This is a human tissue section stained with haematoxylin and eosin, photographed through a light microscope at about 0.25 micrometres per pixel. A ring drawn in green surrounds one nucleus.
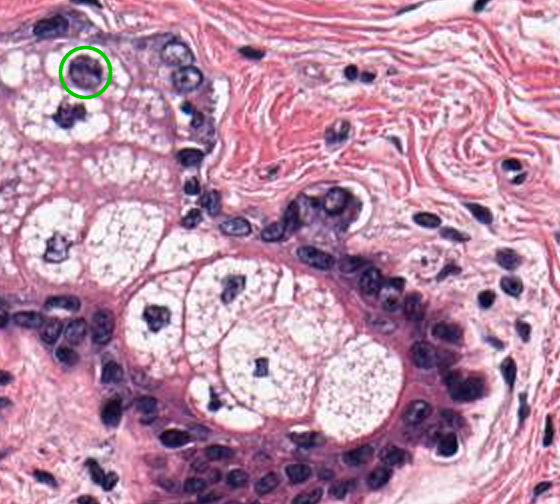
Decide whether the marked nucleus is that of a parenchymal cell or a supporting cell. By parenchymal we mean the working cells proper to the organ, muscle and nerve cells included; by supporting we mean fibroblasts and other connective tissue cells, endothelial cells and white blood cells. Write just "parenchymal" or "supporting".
parenchymal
